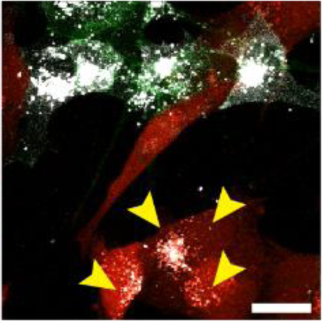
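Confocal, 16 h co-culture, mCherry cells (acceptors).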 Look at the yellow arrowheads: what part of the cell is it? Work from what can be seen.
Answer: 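The arrowheads point to clusters of small white dots. The dots lie within red-filled cells.
Hence: vesicles.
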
